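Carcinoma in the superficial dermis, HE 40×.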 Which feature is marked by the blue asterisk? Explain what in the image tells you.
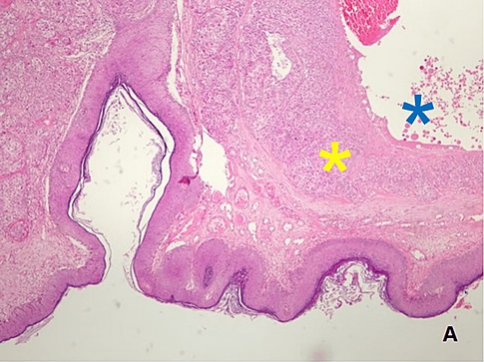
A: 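The blue asterisk lies in an empty space holding a few loose red blood cells. The space is bordered by the tumour tissue.
Cystic.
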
